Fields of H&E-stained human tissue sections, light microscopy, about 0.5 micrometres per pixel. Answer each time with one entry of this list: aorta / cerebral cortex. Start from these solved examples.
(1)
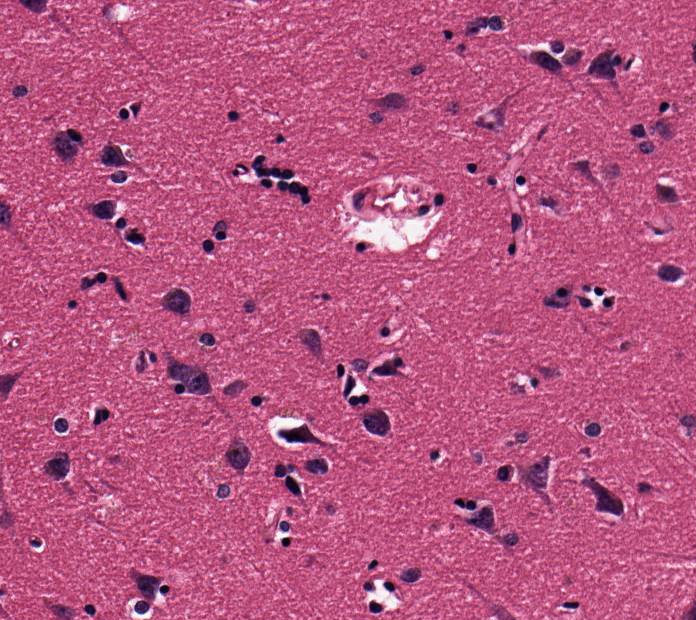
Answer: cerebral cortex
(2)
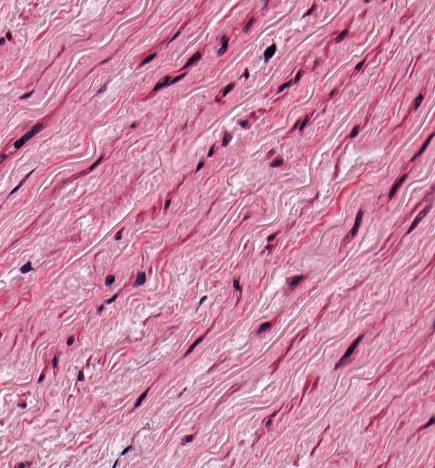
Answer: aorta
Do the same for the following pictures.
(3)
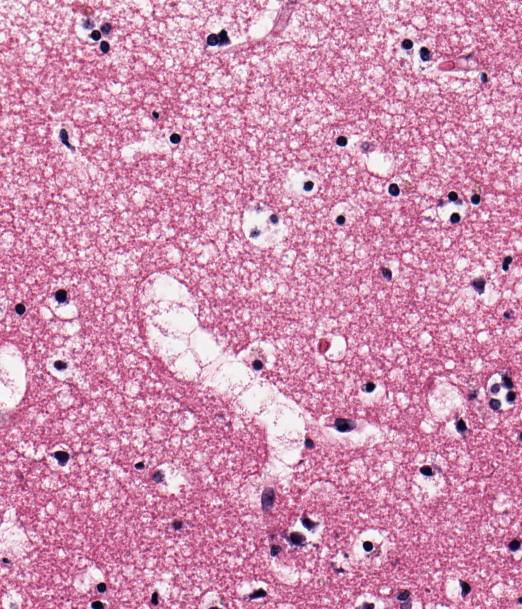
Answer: cerebral cortex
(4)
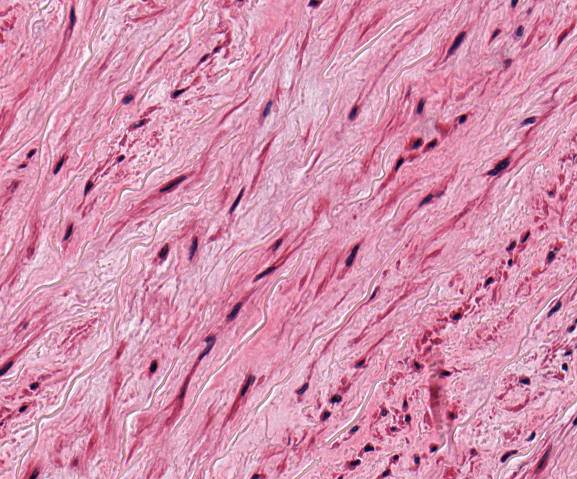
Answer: aorta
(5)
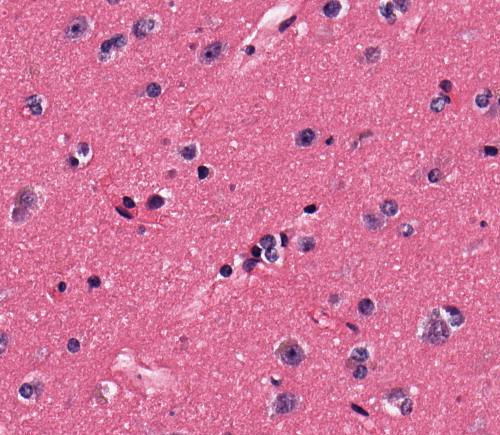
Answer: cerebral cortex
